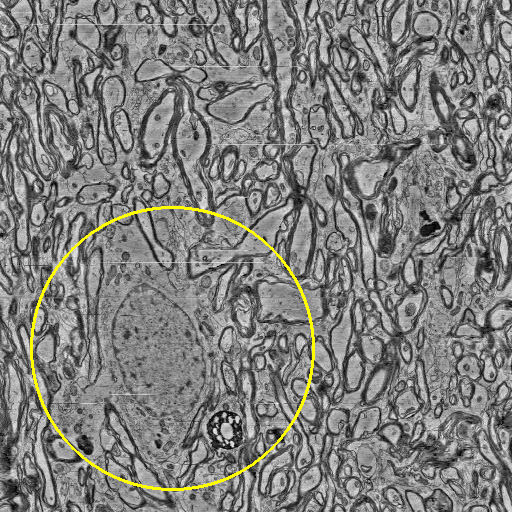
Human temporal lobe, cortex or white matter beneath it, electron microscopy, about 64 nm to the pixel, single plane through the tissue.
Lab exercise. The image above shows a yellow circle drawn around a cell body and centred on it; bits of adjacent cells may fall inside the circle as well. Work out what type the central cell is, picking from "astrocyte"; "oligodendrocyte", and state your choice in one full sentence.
In the image above, the cell at the centre of the yellow circle is an astrocyte.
